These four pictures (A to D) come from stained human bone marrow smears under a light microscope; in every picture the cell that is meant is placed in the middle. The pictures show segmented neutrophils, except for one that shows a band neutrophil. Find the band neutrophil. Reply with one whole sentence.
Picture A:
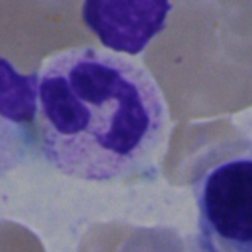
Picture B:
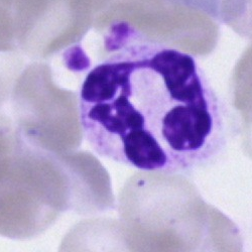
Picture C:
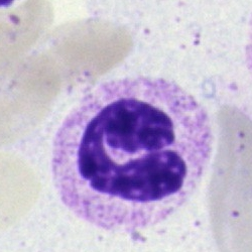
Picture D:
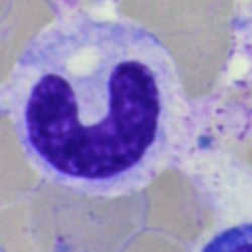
Picture D shows the band neutrophil.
